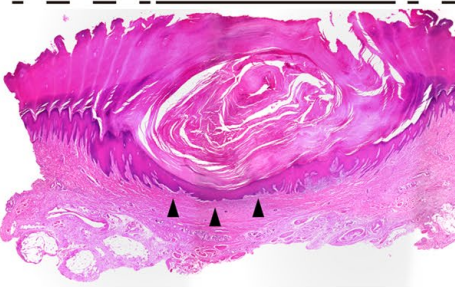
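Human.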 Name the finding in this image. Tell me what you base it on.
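A central mass of dense keratin with concentric lamellae sits in the epidermis. The keratin mass presses down into the underlying epidermis, which bulges toward the dermis beneath it. The thick cornified layer on either side of the mass is not laminated in this way.
Conclusion: corn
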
